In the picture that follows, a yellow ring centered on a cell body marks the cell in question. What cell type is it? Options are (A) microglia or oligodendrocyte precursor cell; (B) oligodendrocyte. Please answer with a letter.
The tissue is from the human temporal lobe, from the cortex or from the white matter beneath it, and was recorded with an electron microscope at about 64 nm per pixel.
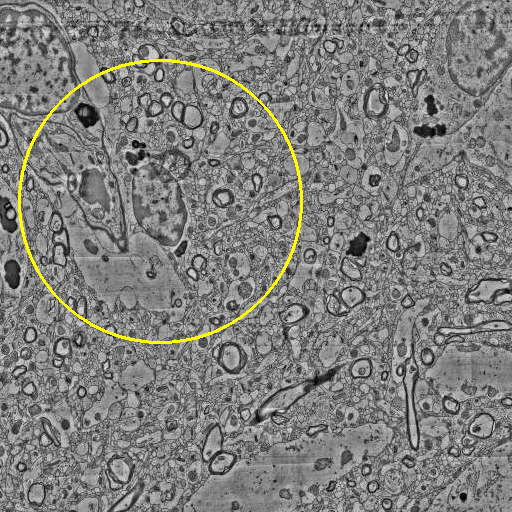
A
